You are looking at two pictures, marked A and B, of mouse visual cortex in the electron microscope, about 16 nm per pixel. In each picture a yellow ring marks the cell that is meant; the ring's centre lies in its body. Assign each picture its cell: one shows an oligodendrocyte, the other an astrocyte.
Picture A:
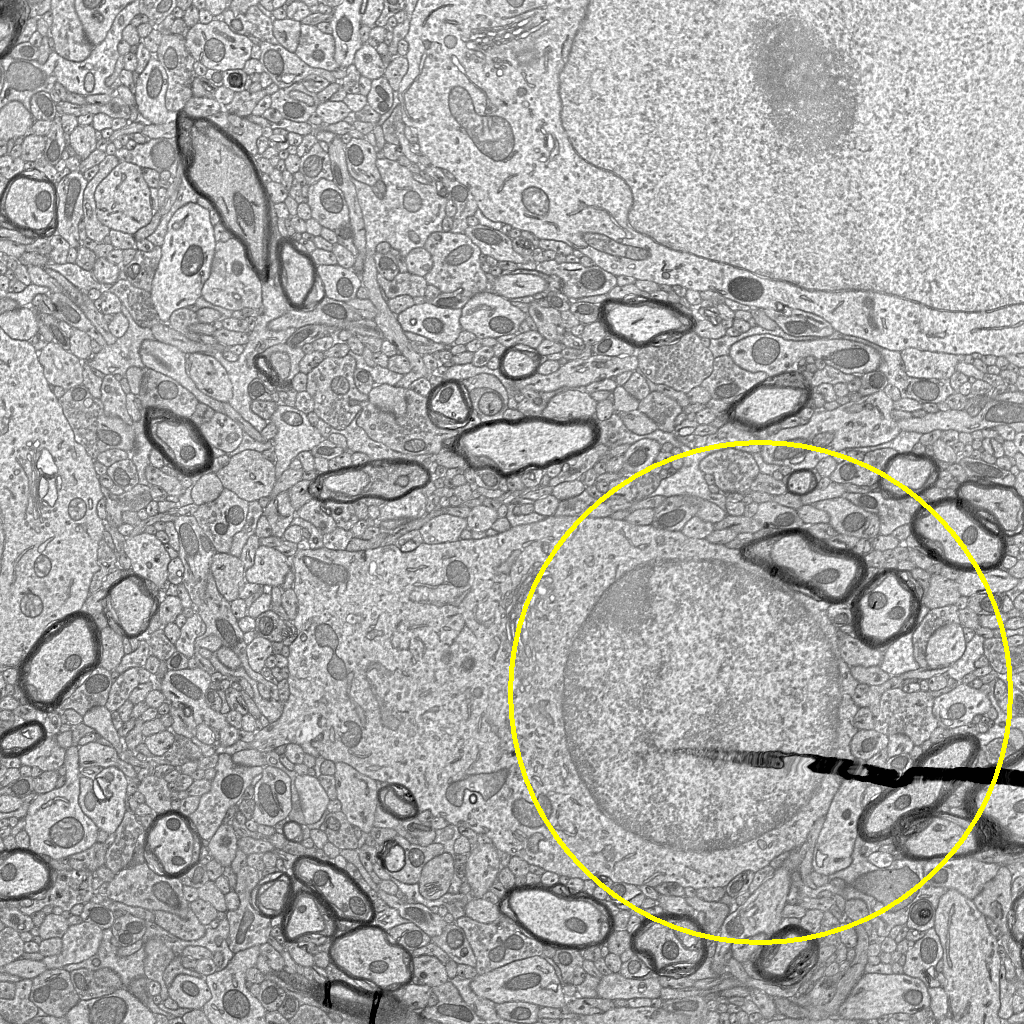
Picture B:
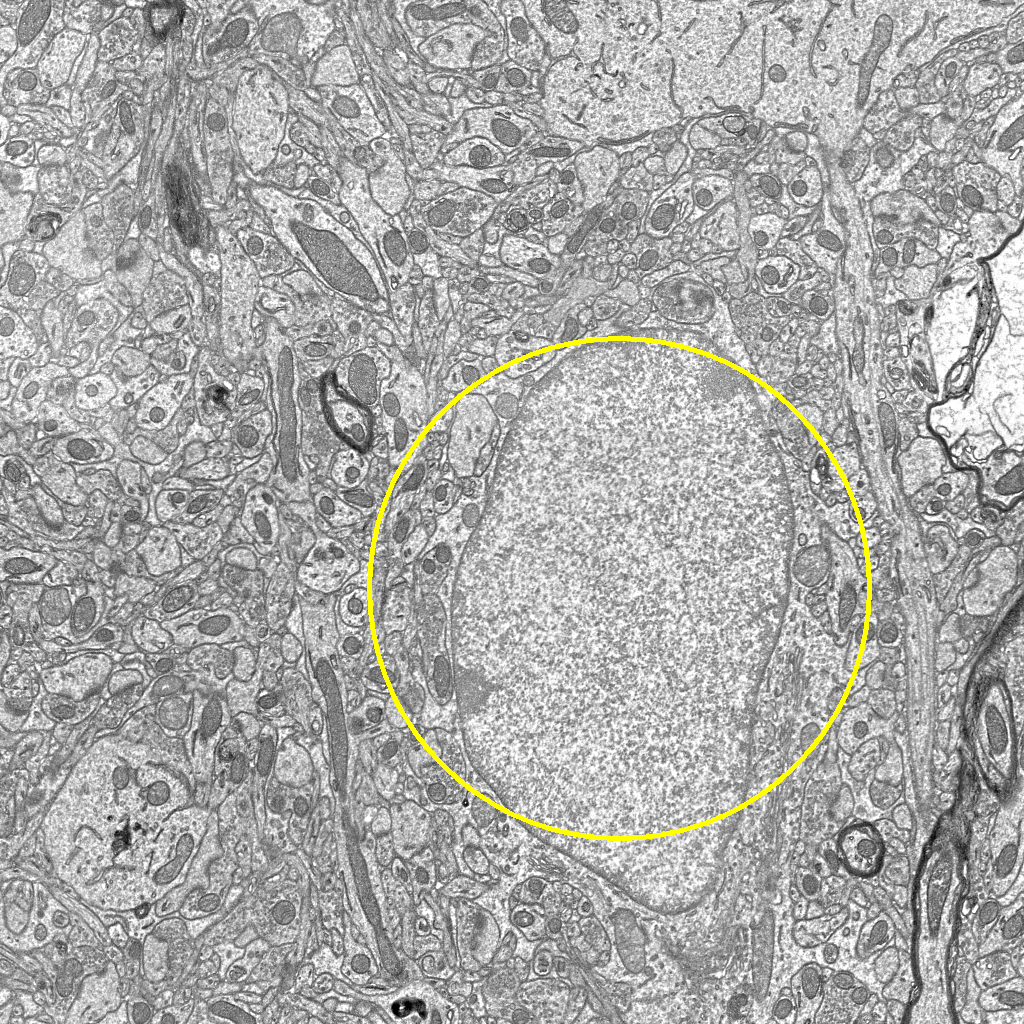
It is picture A that shows an oligodendrocyte, and picture B that shows an astrocyte.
